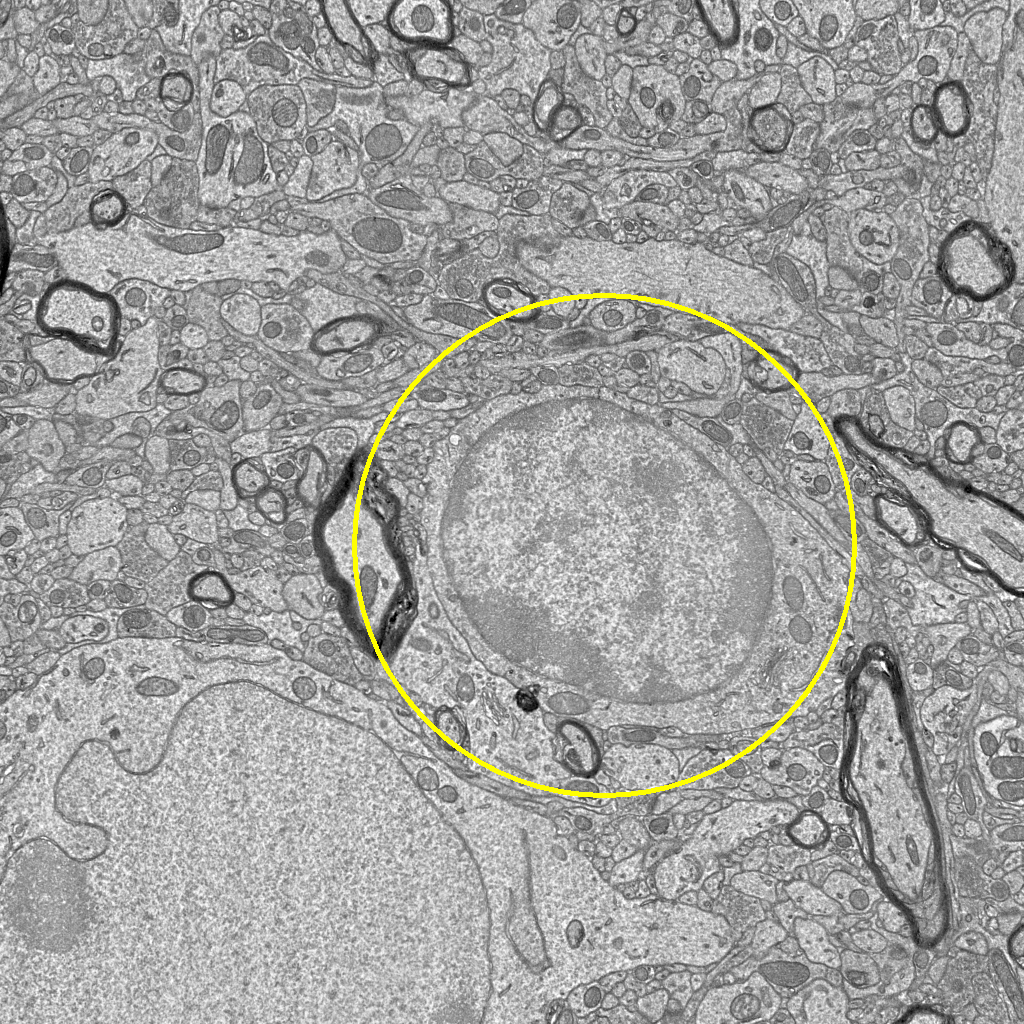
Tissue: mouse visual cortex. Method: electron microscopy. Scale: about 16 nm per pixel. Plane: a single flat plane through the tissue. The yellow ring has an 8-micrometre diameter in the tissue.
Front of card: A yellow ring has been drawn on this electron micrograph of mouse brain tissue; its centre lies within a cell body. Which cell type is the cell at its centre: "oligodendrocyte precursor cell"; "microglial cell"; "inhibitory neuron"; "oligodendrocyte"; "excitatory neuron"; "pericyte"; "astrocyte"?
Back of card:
oligodendrocyte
